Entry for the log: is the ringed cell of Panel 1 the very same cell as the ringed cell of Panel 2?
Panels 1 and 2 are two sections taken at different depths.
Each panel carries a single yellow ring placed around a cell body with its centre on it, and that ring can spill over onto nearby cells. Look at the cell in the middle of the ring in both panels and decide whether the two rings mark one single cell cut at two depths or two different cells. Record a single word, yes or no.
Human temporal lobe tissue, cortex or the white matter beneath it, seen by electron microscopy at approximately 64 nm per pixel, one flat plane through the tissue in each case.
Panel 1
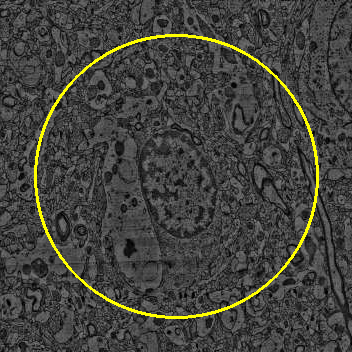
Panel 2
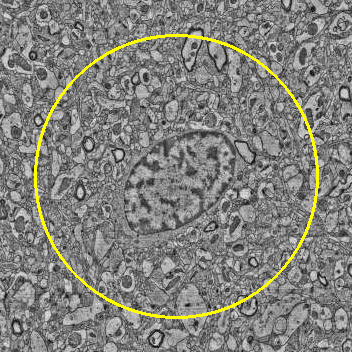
no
